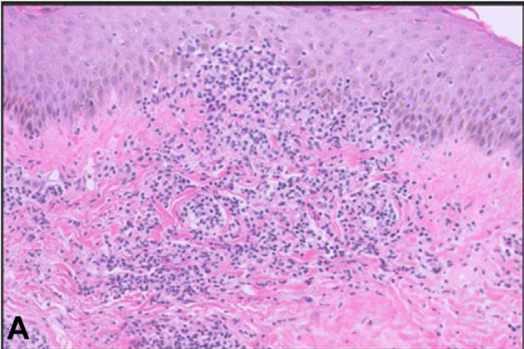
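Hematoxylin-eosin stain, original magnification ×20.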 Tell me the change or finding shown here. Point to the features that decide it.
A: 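Extension into the epidermis. Lymphoid cells lie among the basal keratinocytes of the overlying epidermis. The dermal infiltrate abuts the lower edge of the epidermis.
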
